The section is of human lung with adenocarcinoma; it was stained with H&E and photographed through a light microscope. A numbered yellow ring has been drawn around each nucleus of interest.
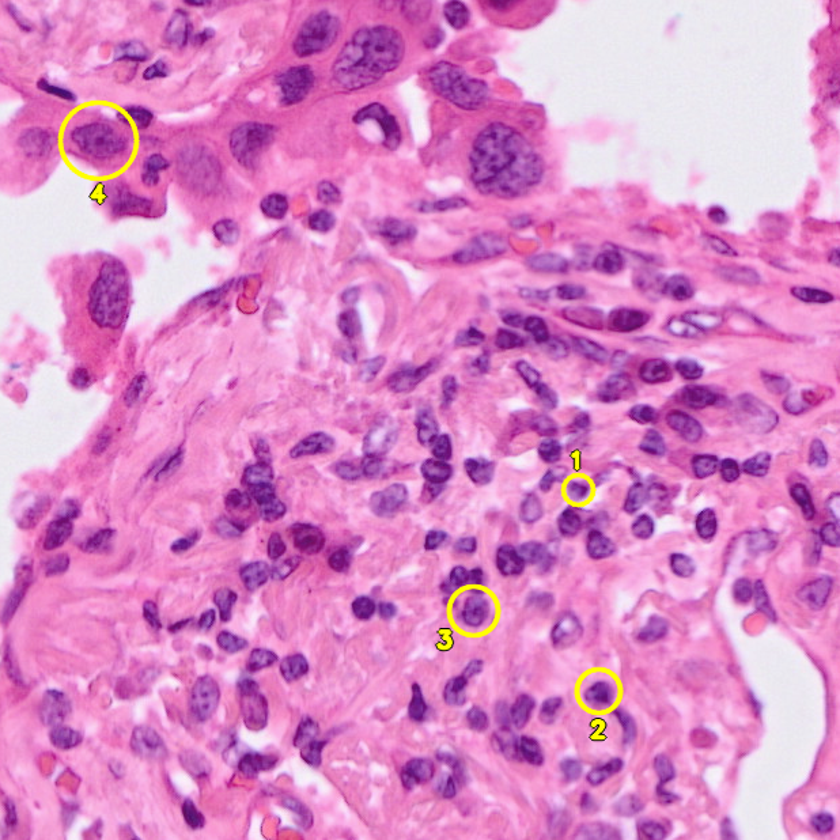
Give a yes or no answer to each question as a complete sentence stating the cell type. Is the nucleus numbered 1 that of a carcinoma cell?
No, it is not a carcinoma cell that bears number 1 but a lymphocyte.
